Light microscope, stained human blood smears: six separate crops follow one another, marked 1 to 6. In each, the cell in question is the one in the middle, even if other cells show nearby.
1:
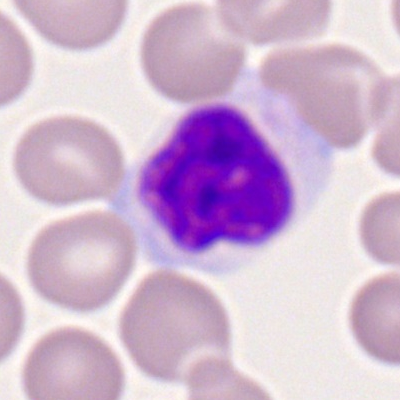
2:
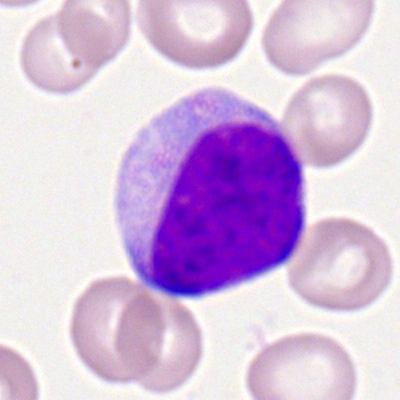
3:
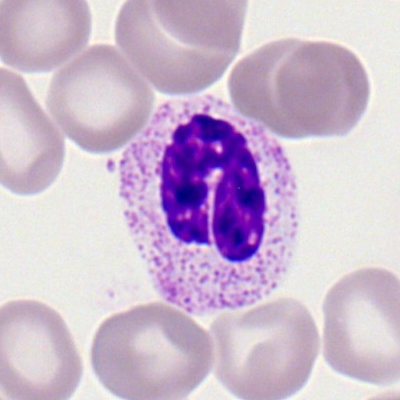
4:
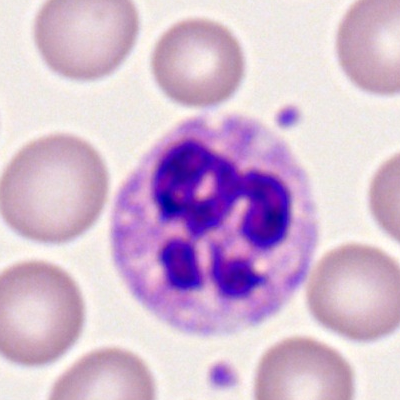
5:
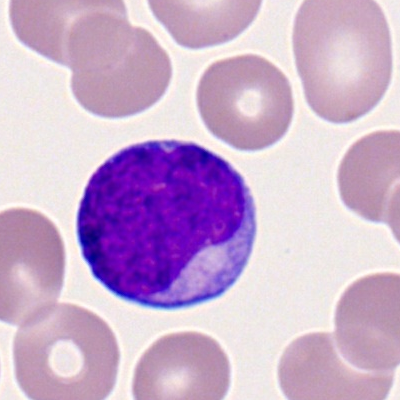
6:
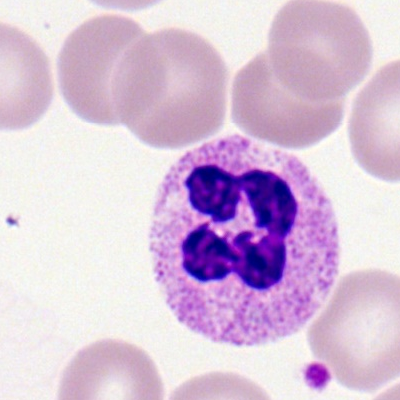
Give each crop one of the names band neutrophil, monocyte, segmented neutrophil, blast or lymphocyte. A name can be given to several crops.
1: lymphocyte
2: blast
3: band neutrophil
4: segmented neutrophil
5: blast
6: segmented neutrophil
